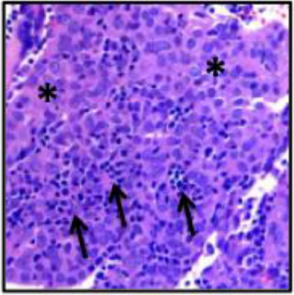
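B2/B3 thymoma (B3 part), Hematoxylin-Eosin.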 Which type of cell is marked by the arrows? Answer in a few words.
Cells of the hematopoietic lineage.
